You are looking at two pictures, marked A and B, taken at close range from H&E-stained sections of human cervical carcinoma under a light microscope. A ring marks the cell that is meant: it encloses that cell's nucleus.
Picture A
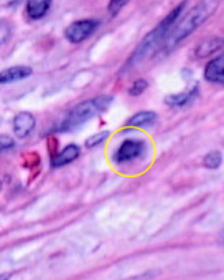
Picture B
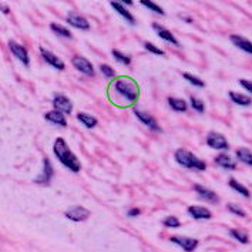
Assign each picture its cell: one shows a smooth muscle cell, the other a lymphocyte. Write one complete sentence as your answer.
Picture A shows a lymphocyte and picture B shows a smooth muscle cell.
